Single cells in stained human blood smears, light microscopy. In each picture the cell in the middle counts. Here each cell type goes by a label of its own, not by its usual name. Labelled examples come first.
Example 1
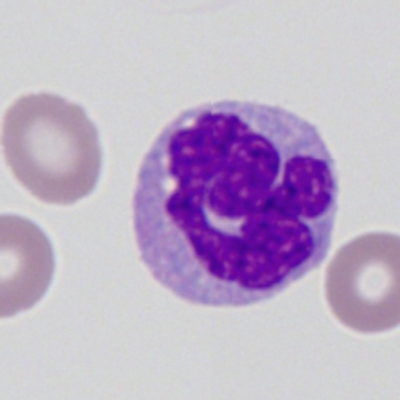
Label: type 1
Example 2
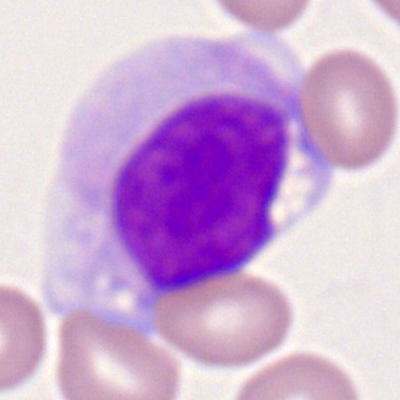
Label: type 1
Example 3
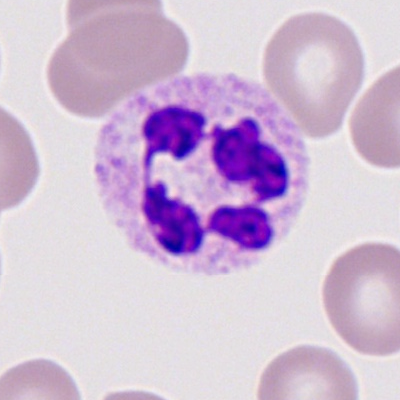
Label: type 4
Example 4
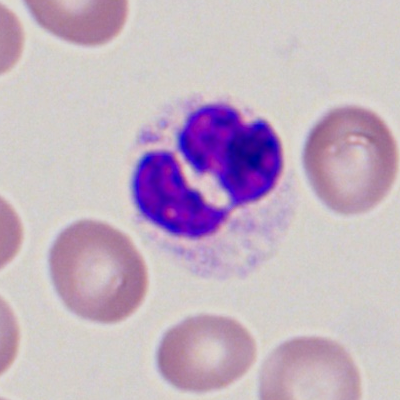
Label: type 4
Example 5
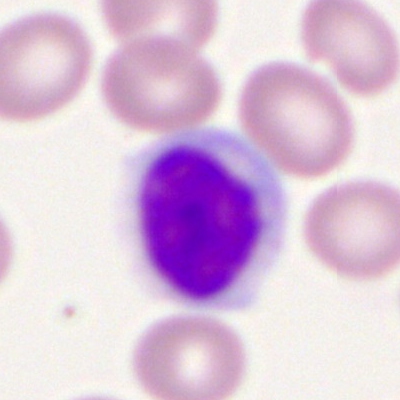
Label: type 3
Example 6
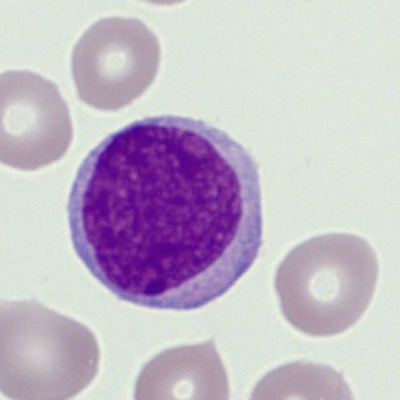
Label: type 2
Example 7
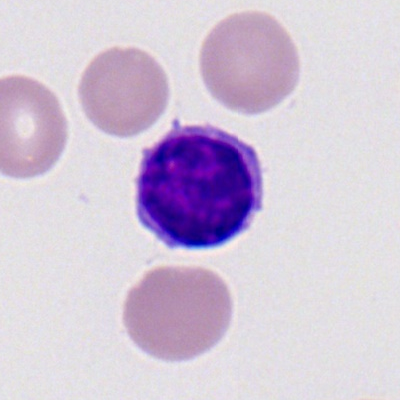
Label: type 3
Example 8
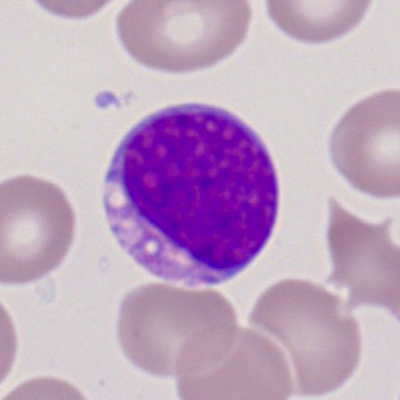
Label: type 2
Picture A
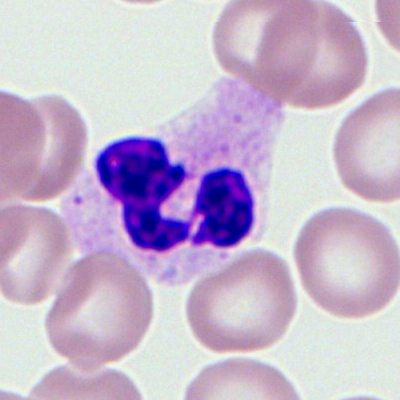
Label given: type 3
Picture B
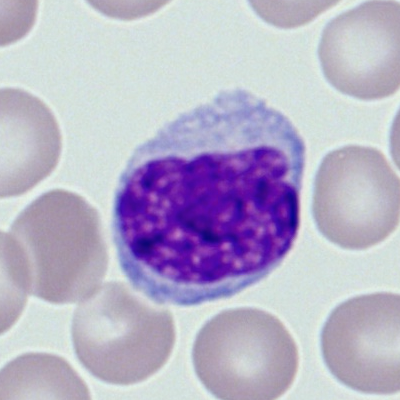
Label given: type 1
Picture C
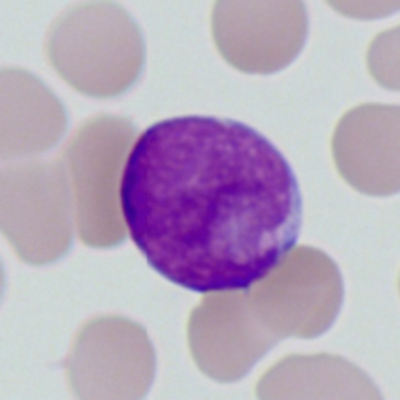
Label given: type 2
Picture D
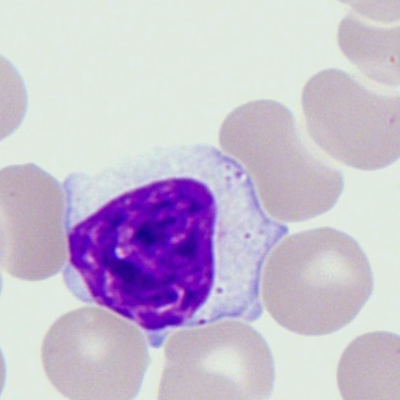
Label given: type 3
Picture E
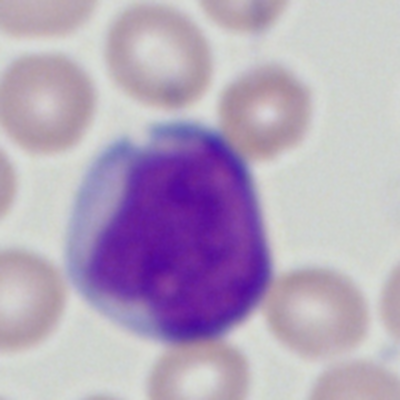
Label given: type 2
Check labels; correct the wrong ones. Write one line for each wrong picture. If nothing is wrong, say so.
A: not type 3 but type 4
